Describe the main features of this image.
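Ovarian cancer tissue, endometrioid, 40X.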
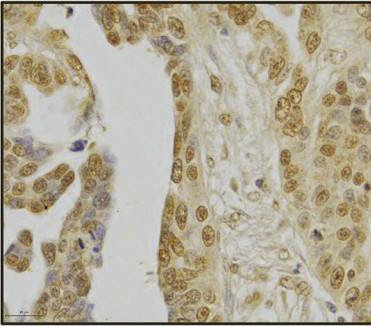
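The tumor cells are crowded, with large round to oval nuclei containing vesicular chromatin and visible nucleoli. Brown staining fills most tumor nuclei and, more faintly, the cytoplasm. A narrow band of loose stroma runs through the middle, containing spindle-shaped cells with small elongated nuclei, some of them only blue. An empty lumen-like space borders the epithelium on the left.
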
